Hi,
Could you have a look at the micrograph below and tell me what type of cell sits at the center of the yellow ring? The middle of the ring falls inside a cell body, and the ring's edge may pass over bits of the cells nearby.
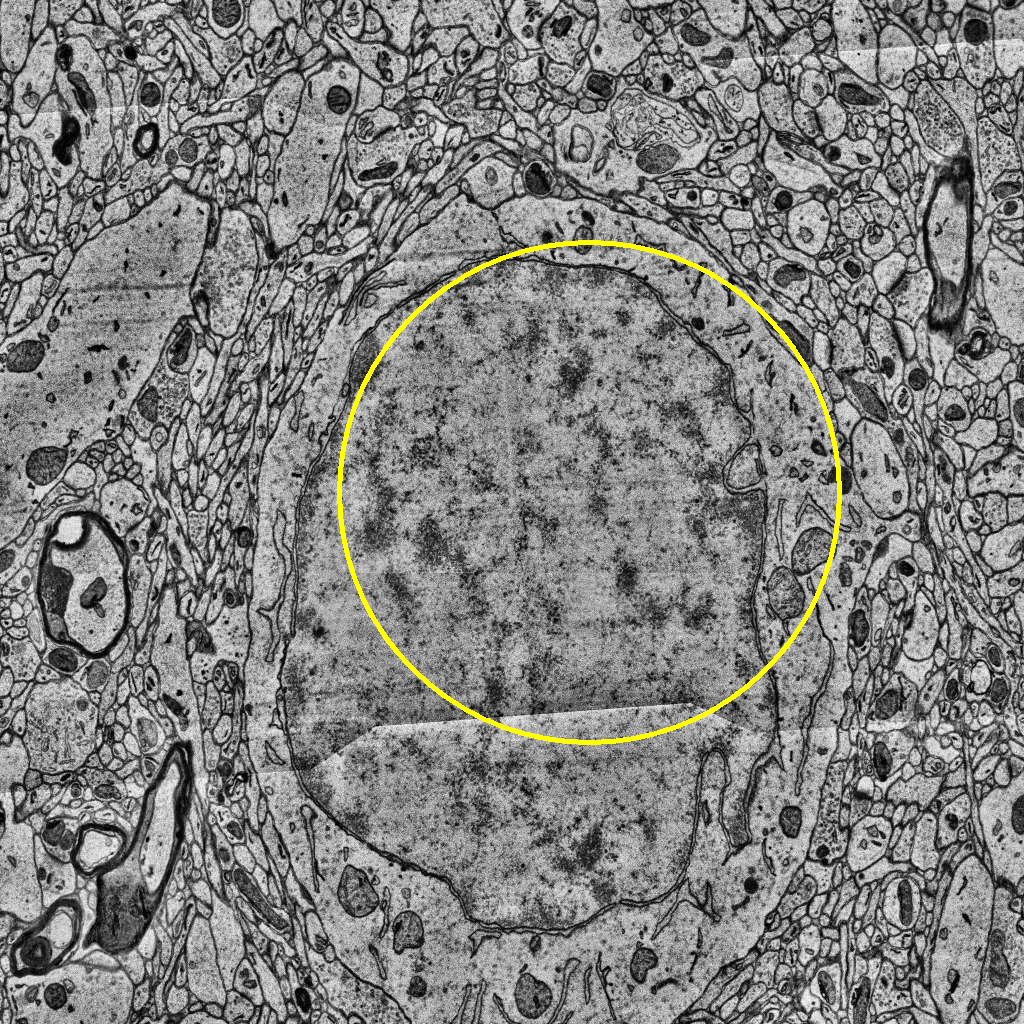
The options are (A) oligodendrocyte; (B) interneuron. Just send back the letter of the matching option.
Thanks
B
